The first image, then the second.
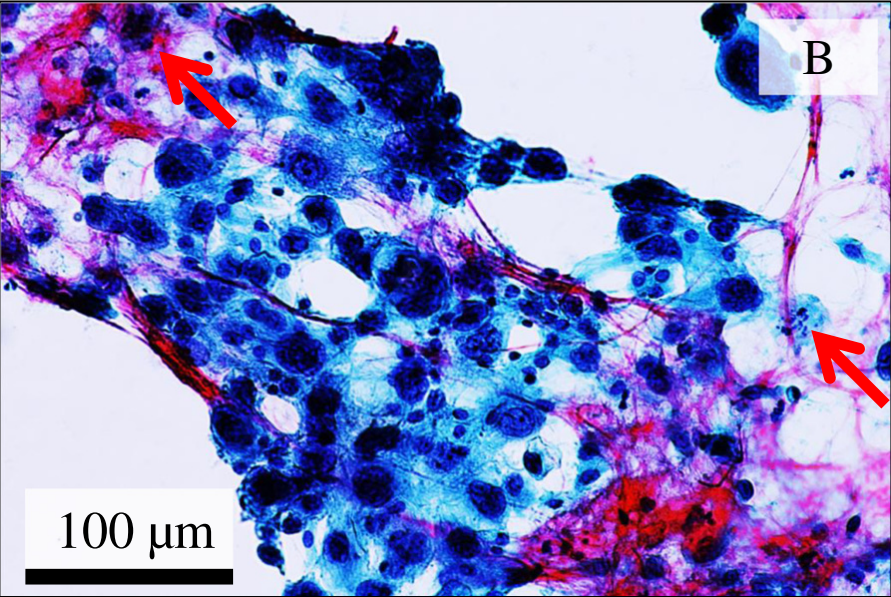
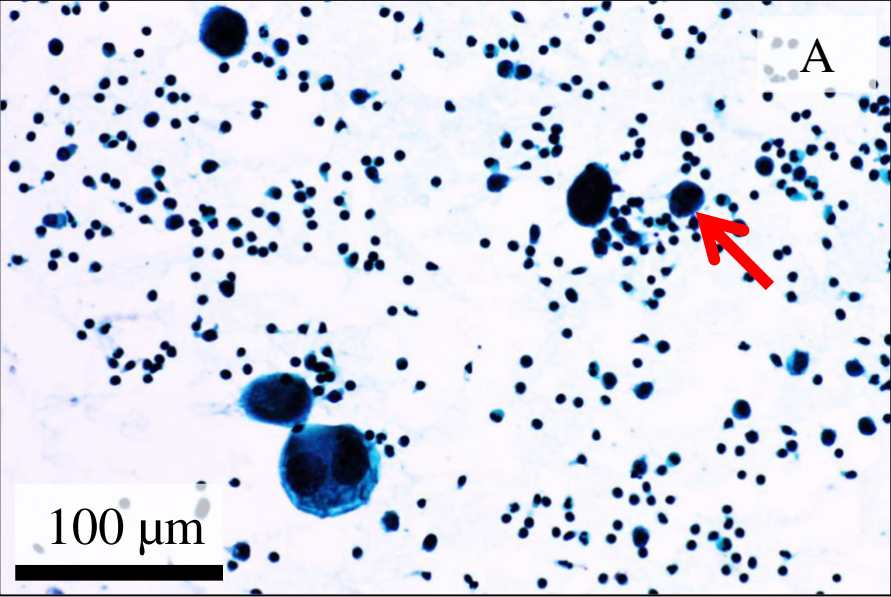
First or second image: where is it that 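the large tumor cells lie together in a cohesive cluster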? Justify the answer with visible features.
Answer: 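First image: large atypical cells are packed together in a crowded, layered cluster.
Answer: the first image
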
